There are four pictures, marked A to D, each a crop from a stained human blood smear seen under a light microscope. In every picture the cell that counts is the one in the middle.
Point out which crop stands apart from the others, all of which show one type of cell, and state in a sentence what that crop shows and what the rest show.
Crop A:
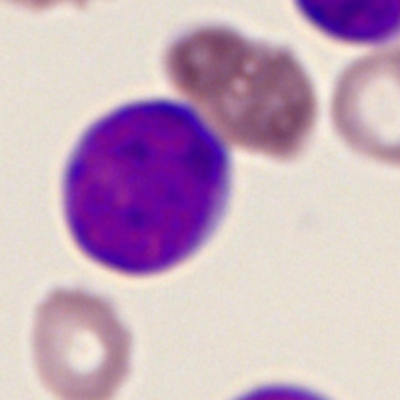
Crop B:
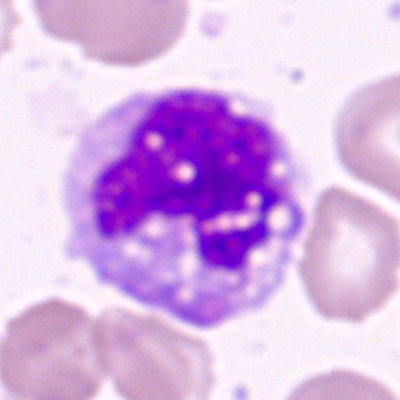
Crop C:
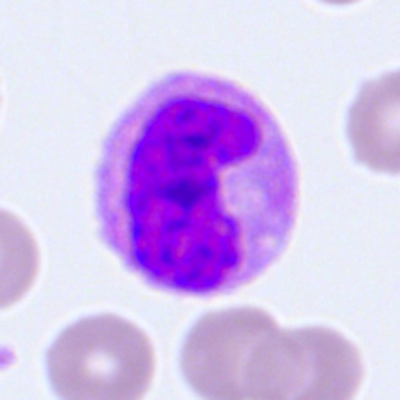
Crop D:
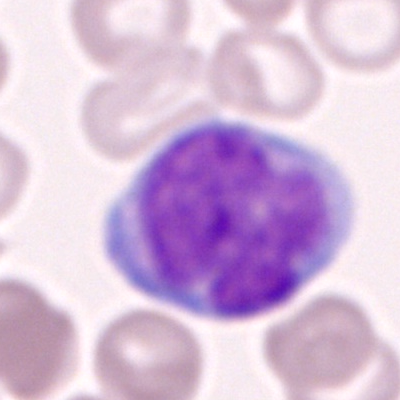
Every crop but one shows monocytes; the exception, crop A, shows a myeloblast.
